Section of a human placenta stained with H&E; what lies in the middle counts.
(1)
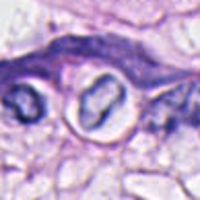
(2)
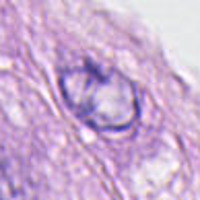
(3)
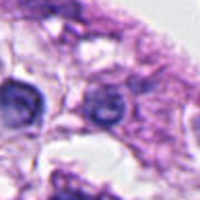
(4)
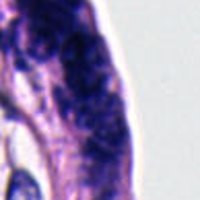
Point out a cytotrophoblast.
That is picture 3.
